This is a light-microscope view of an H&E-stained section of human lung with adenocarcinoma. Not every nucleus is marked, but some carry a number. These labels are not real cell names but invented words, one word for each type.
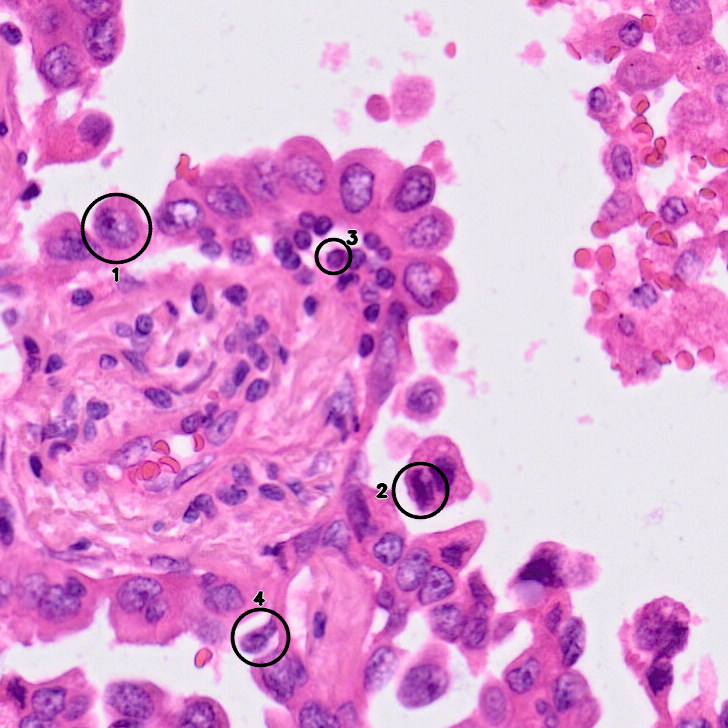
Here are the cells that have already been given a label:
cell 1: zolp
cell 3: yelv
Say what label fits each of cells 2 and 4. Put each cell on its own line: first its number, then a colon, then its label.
2: zolp
4: zolp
